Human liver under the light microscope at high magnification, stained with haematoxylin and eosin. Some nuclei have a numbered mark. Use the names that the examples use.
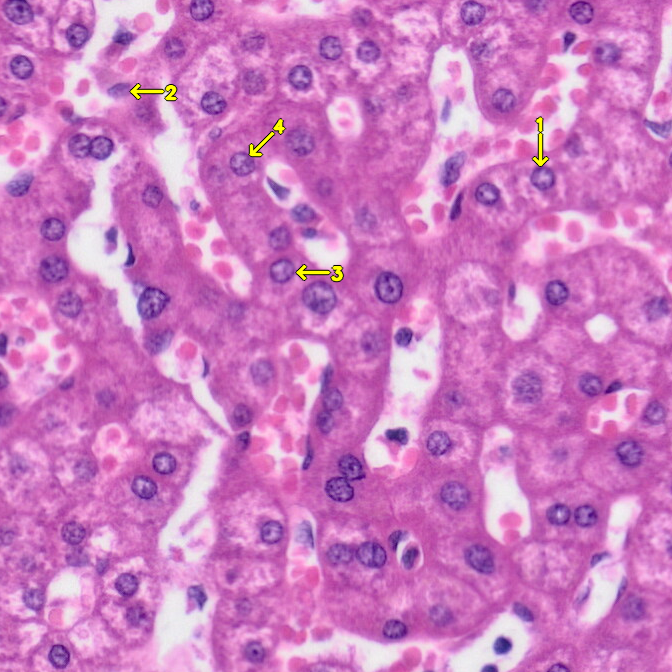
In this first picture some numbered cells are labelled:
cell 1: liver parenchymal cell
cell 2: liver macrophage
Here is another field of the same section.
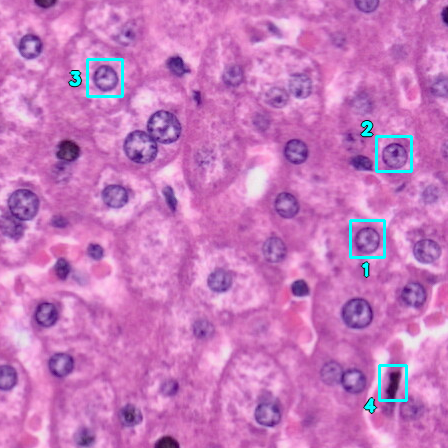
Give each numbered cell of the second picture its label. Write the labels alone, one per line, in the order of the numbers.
liver parenchymal cell
liver parenchymal cell
liver parenchymal cell
liver macrophage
